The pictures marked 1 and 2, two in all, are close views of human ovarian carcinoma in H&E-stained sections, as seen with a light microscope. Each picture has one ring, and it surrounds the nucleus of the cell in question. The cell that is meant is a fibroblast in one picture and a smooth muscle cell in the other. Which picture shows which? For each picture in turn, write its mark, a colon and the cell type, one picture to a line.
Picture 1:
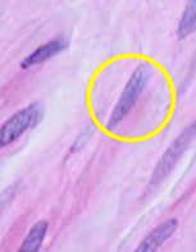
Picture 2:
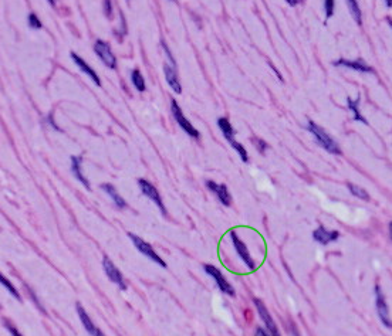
1: smooth muscle cell
2: fibroblast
